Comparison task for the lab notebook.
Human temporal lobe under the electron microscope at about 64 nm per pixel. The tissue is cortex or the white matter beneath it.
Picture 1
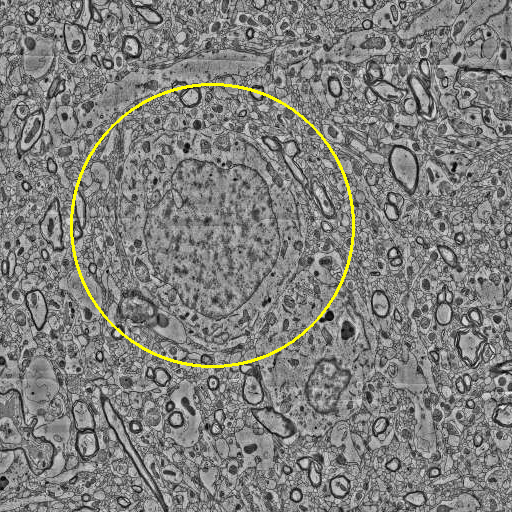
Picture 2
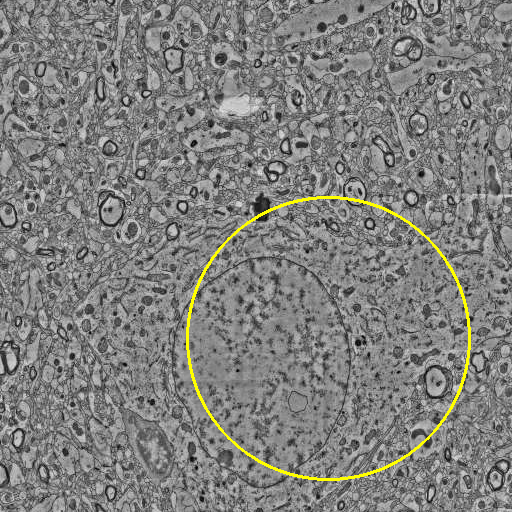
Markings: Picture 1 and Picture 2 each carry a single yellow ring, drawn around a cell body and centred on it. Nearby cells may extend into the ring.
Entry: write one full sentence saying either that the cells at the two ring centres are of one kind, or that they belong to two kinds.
The cells sitting at the ring centres in Picture 1 and Picture 2 are of one kind.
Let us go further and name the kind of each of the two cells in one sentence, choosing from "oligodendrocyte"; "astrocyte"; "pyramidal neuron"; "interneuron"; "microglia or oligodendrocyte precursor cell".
In each picture the ringed cell is a pyramidal neuron.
